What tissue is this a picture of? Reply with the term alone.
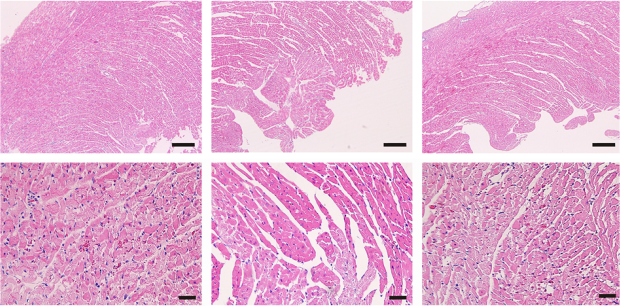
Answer: Heart.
